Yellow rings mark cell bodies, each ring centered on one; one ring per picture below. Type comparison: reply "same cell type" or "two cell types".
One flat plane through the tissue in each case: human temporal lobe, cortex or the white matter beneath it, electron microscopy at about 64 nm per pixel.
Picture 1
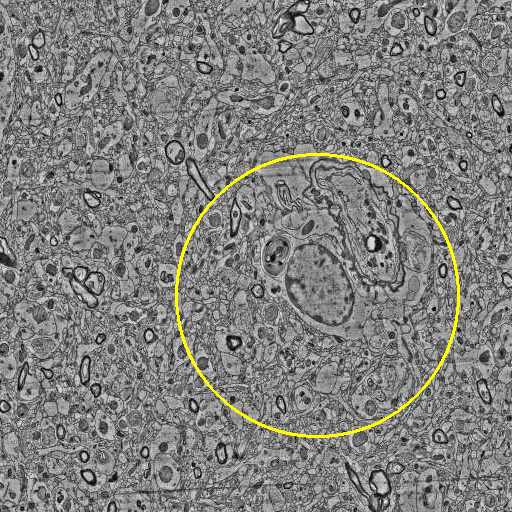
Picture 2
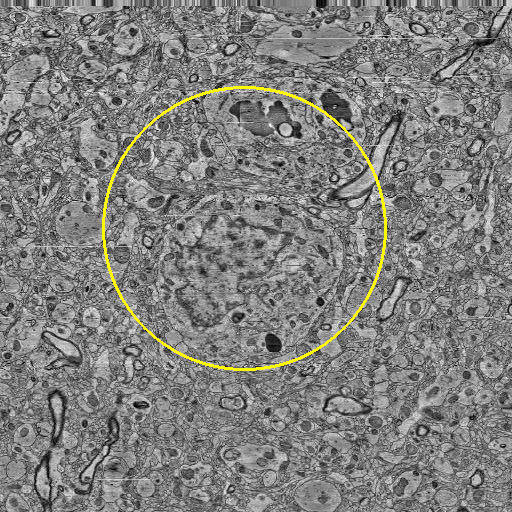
two cell types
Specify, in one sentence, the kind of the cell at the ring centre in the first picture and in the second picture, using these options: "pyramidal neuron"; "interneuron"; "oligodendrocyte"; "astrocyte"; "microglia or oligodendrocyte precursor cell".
So the first is a microglial cell or oligodendrocyte precursor cell, the second an interneuron.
